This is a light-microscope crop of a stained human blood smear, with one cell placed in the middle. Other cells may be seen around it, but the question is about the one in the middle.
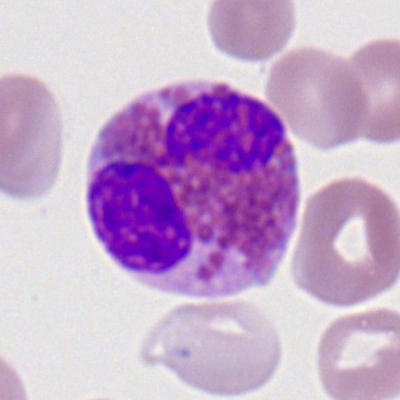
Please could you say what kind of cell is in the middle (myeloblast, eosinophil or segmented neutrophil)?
eosinophil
